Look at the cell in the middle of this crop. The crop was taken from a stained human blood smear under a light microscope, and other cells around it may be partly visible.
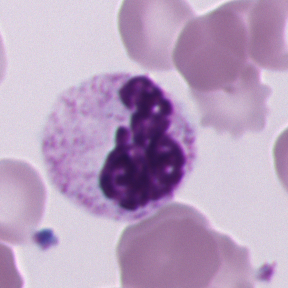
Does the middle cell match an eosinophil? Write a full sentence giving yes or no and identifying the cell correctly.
No, it is a segmented neutrophil that sits in the middle, not an eosinophil.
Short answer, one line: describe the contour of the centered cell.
Edge check done: smooth outline, no projections present.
